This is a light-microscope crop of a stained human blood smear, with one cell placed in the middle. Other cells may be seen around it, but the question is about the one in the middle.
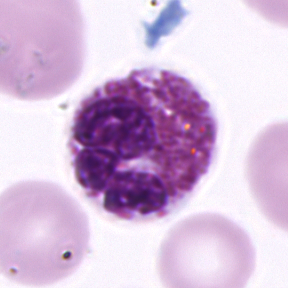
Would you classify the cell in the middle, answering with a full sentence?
The cell in the middle of the field of view is an eosinophil.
